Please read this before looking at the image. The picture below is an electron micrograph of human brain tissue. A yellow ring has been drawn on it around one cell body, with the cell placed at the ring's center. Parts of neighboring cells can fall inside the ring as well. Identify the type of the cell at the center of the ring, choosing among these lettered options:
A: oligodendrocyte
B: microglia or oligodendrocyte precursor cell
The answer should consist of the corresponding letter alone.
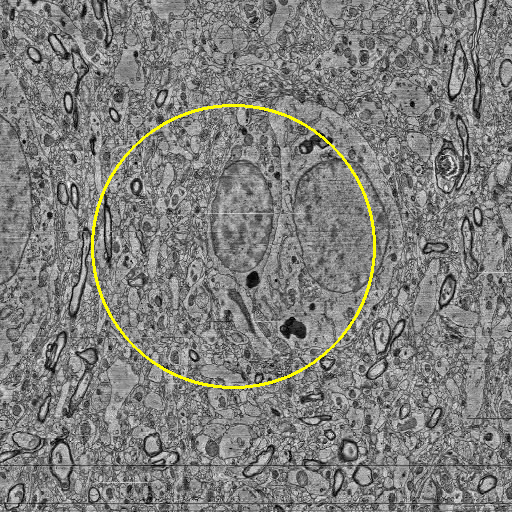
A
